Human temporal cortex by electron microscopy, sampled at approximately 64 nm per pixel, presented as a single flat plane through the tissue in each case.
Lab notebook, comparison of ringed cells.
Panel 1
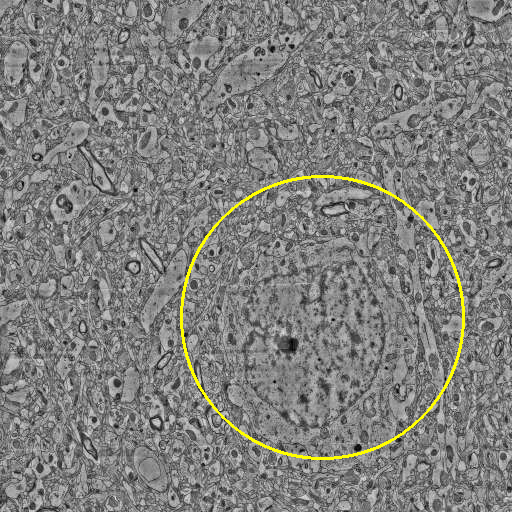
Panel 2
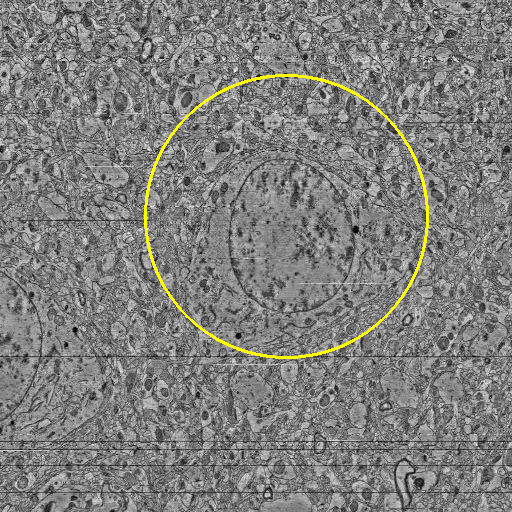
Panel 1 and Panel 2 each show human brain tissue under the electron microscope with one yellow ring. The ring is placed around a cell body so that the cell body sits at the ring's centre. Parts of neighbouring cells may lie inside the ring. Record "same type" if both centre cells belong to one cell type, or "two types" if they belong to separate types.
two types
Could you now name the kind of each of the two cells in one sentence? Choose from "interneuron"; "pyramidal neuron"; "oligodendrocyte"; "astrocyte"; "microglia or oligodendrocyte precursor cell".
The first ring encloses an interneuron; the second ring encloses a pyramidal neuron.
